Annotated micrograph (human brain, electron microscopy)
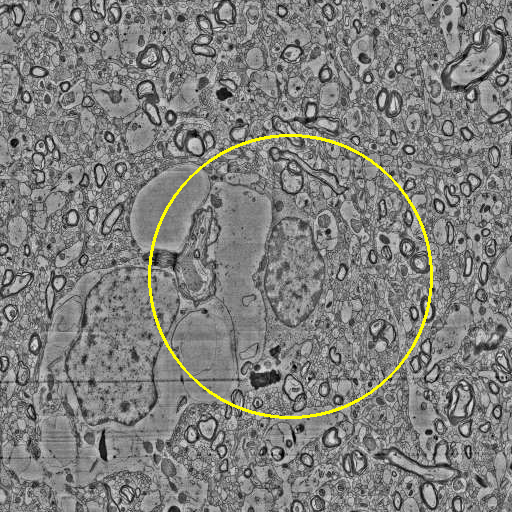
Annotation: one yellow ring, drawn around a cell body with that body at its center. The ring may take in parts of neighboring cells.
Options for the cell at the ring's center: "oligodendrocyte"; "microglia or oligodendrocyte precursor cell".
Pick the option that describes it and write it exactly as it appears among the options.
oligodendrocyte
